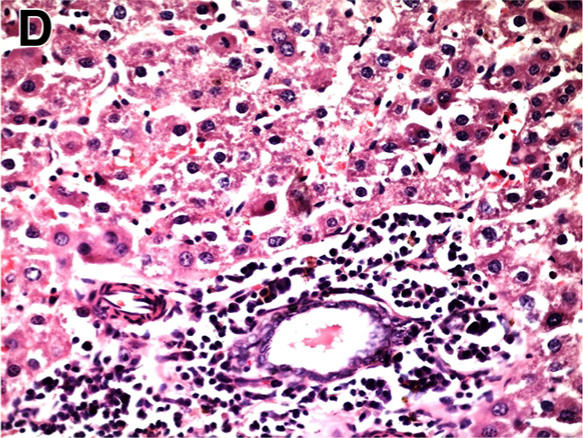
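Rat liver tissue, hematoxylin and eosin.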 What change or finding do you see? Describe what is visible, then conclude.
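Many small dark round nuclei crowd the connective tissue around a vessel at the bottom. The answer: perivascular leukocyte infiltration.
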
